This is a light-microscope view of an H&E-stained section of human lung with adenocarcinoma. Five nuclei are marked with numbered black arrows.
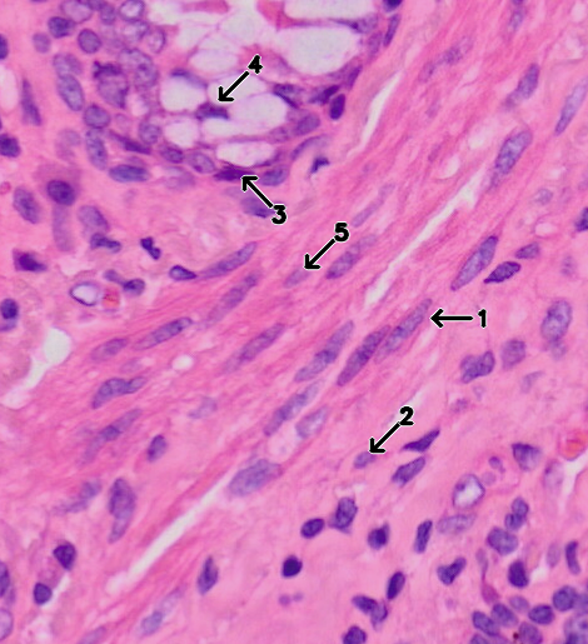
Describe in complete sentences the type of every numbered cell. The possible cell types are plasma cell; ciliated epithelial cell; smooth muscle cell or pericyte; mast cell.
Cell 1 is a smooth muscle cell or pericyte, cell 2 is a mast cell, cell 3 is a ciliated epithelial cell, cell 4 is a ciliated epithelial cell and cell 5 is a smooth muscle cell or pericyte.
